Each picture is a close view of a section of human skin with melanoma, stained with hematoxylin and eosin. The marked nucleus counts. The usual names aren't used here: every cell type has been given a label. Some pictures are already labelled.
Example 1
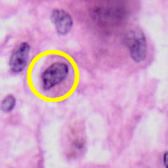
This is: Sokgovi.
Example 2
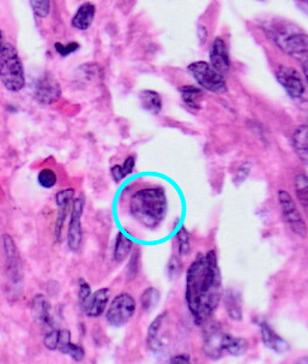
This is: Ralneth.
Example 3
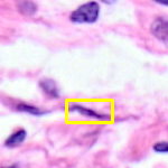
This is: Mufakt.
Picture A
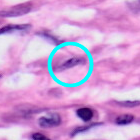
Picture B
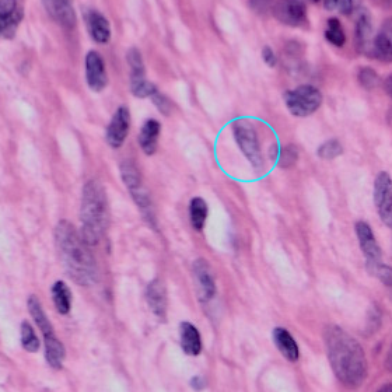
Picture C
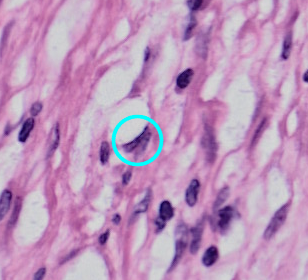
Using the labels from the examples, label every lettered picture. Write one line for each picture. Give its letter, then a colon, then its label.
A: Mufakt.
B: Mufakt.
C: Mufakt.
